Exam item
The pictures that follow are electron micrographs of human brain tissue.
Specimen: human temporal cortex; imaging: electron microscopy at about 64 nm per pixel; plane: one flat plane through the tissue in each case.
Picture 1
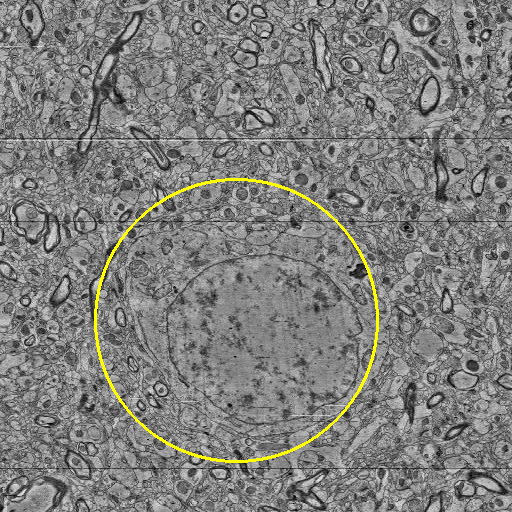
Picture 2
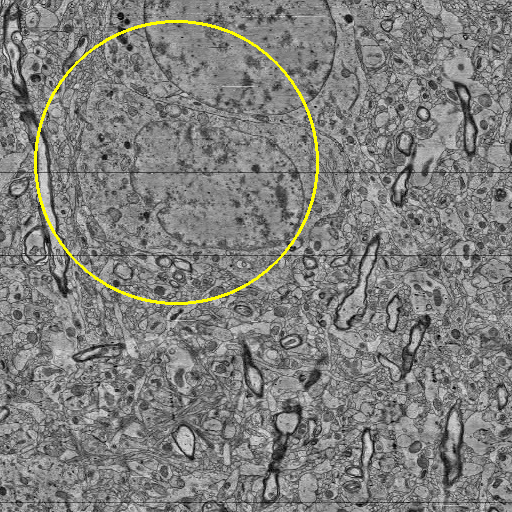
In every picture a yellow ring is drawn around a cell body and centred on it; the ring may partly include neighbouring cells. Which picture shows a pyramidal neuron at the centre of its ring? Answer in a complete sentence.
The cell at the centre of the ring in Picture 1 is the one asked for.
